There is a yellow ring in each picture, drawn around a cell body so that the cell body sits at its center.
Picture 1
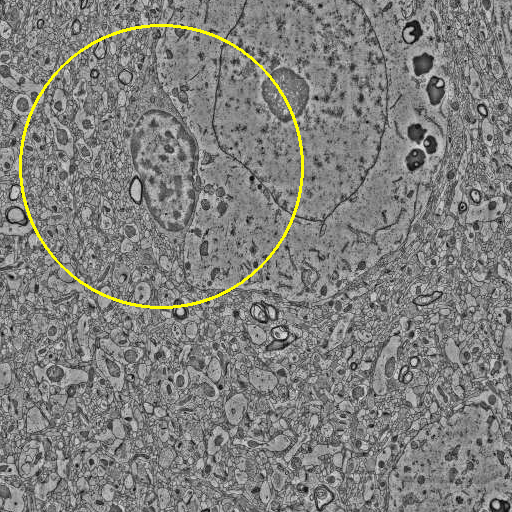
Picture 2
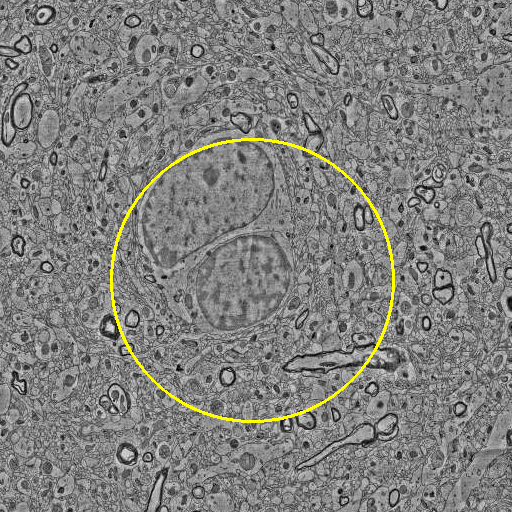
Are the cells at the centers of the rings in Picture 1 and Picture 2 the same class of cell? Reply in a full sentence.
Yes, the two cells are the same class of cell.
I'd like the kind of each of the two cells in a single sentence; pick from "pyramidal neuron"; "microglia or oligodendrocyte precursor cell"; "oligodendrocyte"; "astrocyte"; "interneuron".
Each of the two rings is centred on an oligodendrocyte.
